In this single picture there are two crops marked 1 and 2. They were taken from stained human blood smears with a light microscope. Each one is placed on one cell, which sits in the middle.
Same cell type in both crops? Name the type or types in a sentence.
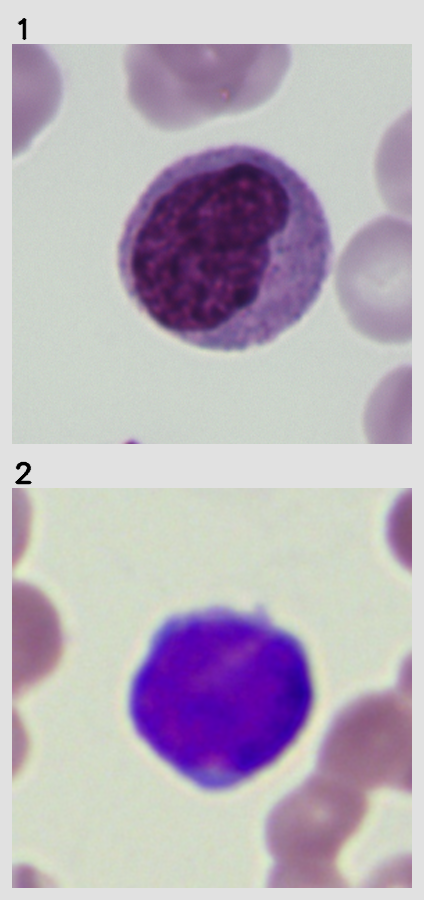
No, cell 1 is a monocyte, and cell 2 is a blast.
